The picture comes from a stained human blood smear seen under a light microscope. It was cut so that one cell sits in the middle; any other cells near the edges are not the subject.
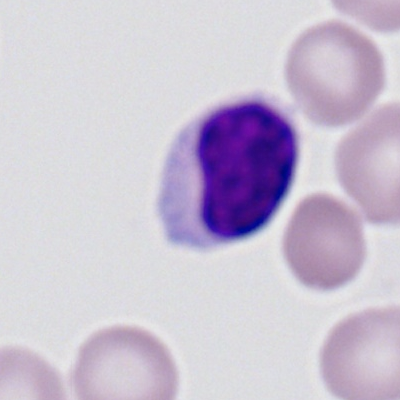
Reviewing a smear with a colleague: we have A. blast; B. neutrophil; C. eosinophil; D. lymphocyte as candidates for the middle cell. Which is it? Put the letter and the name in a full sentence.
Option D gives the correct identity of the central cell, namely a lymphocyte.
